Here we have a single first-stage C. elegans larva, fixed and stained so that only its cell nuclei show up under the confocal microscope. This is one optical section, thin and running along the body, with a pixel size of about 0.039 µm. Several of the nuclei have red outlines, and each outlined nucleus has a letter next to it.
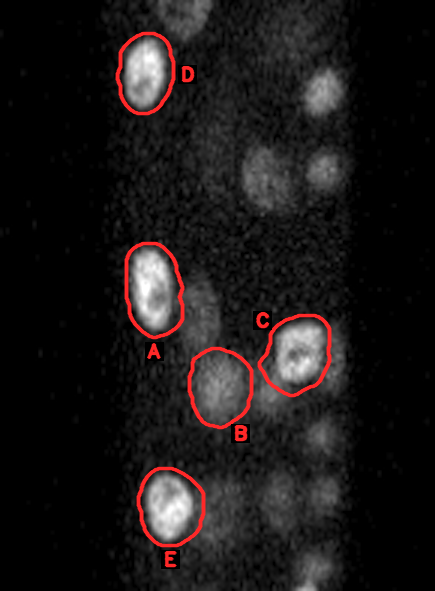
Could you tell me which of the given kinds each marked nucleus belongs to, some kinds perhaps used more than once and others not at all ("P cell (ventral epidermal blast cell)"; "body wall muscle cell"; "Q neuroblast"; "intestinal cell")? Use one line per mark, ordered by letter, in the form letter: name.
A: body wall muscle cell
B: Q neuroblast
C: P cell (ventral epidermal blast cell)
D: body wall muscle cell
E: body wall muscle cell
